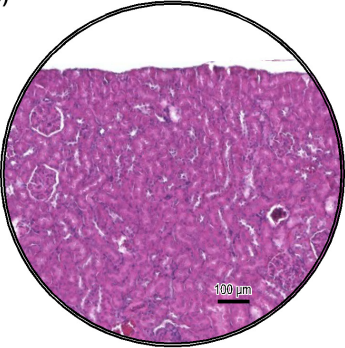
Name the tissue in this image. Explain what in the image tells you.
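Densely packed convoluted tubules fill the field. Several round glomeruli are scattered among the tubules. A smooth outer tissue edge runs along the top.
Conclusion: renal cortex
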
